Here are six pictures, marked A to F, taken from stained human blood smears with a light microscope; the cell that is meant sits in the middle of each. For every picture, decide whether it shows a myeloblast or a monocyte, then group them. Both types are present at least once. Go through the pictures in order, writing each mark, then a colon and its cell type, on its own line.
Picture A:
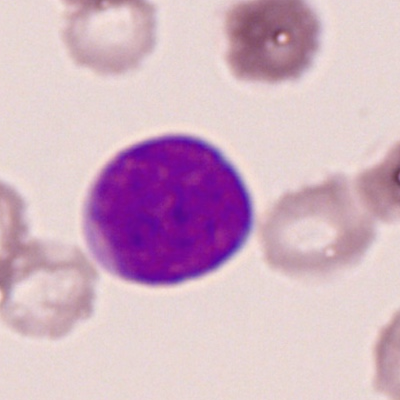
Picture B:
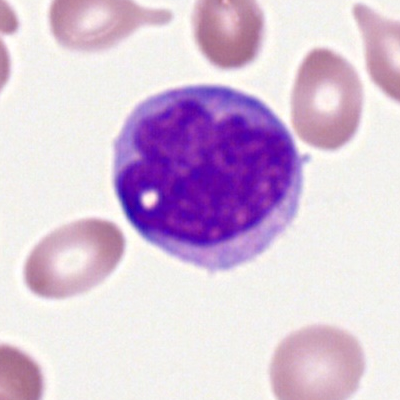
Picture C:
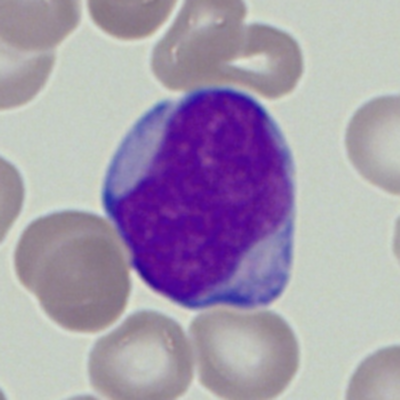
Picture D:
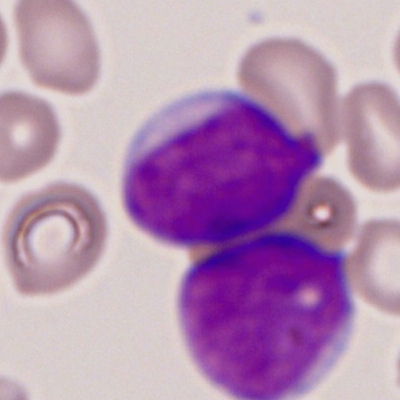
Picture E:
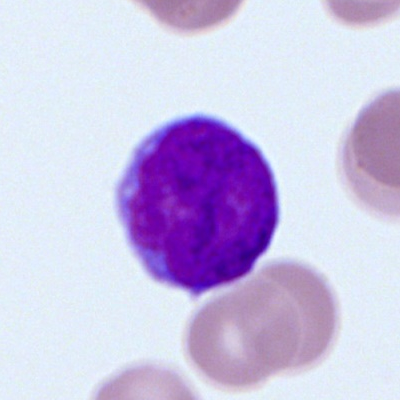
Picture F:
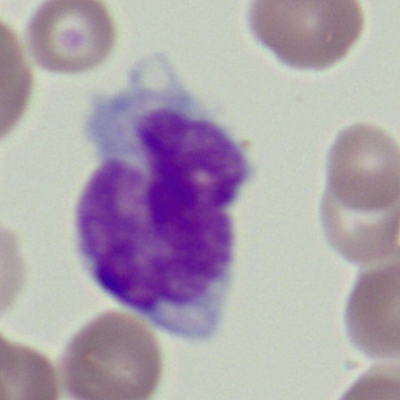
A: myeloblast
B: monocyte
C: myeloblast
D: myeloblast
E: myeloblast
F: monocyte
